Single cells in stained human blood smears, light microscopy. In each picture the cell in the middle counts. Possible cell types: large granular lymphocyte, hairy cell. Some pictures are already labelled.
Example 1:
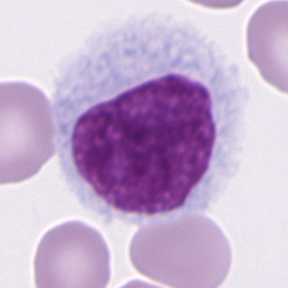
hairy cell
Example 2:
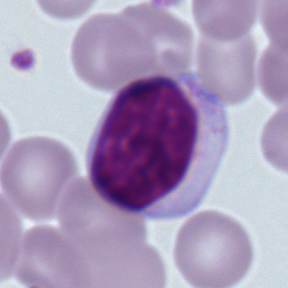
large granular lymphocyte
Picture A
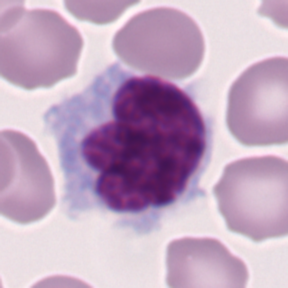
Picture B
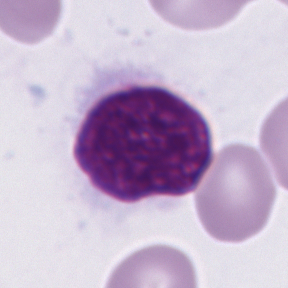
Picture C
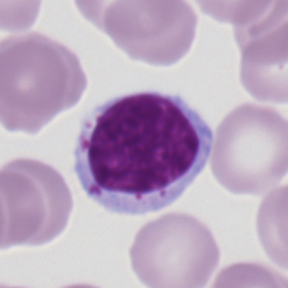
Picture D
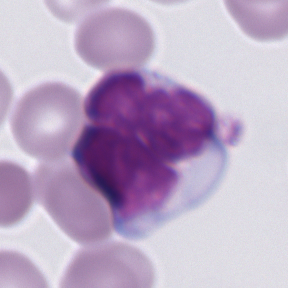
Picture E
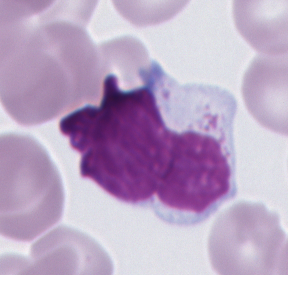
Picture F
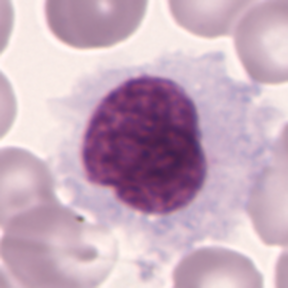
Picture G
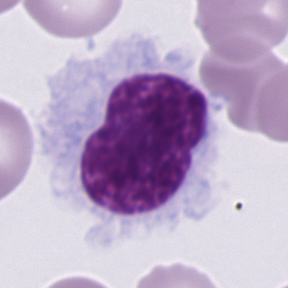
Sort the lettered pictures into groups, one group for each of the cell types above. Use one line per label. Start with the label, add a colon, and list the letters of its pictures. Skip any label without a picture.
large granular lymphocyte: C, D, E
hairy cell: A, B, F, G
